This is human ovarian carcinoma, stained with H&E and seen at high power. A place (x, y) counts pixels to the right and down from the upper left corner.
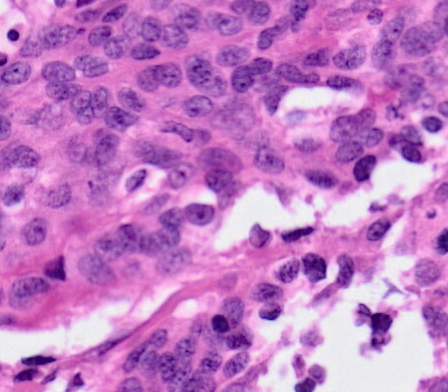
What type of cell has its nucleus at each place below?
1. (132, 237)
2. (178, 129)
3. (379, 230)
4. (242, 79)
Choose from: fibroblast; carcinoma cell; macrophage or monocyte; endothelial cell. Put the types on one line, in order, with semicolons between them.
carcinoma cell; macrophage or monocyte; macrophage or monocyte; carcinoma cell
